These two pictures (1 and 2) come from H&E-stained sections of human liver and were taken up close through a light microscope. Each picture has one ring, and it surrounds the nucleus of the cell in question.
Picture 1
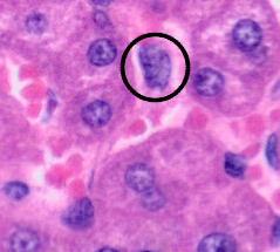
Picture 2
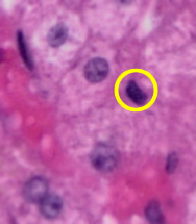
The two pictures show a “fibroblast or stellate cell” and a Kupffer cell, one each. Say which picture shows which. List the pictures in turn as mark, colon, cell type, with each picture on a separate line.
1: Kupffer cell
2: fibroblast or stellate cell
